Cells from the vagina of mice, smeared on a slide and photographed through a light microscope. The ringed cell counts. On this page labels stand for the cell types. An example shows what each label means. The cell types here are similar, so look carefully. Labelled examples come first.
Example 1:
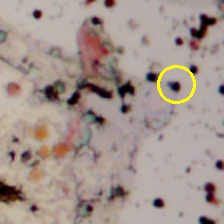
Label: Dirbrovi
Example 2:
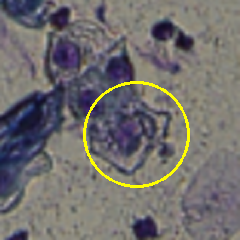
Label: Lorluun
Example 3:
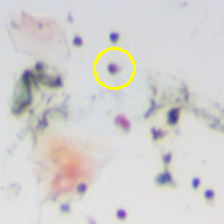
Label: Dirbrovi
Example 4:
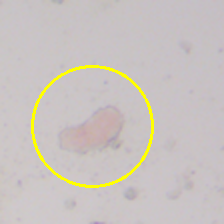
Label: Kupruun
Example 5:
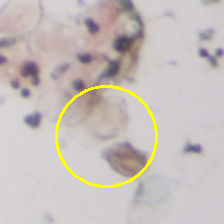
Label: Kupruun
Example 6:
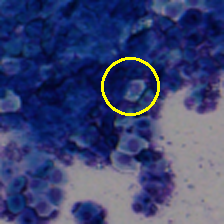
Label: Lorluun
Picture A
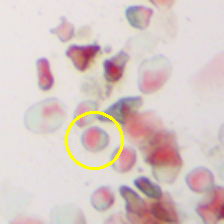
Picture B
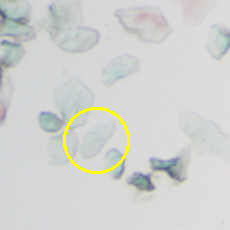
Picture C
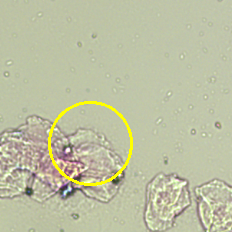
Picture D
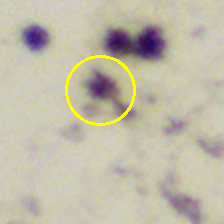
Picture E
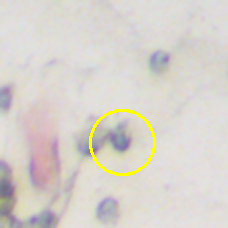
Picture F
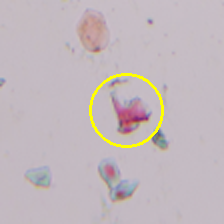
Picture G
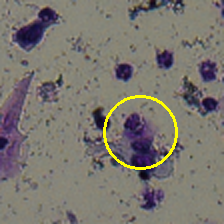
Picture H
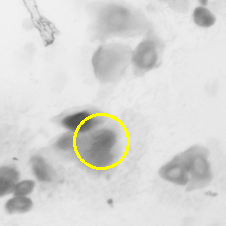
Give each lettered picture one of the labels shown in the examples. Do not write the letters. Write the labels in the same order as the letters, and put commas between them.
Lorluun, Kupruun, Kupruun, Dirbrovi, Dirbrovi, Kupruun, Lorluun, Lorluun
